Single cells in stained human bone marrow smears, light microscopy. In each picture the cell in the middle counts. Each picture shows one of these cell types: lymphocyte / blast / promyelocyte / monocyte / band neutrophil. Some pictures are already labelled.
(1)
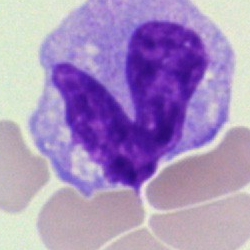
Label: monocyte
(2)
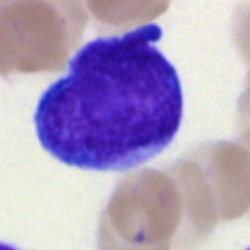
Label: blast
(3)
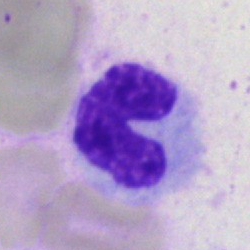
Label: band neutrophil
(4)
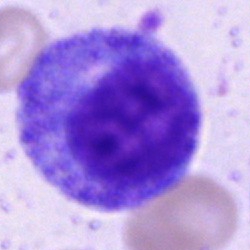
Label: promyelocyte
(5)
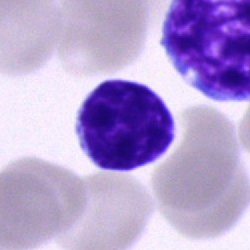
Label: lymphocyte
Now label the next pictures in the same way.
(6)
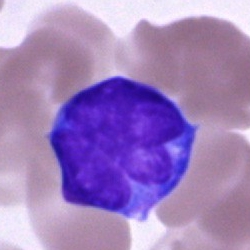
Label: blast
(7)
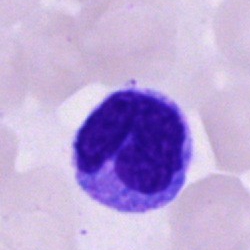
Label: monocyte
